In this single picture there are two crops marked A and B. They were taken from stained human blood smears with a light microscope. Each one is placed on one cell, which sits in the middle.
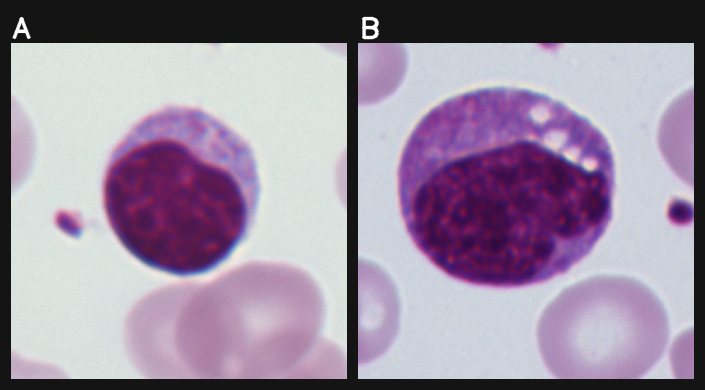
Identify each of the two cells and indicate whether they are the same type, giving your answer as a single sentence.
No, a monocyte is depicted in crop B, whereas a large granular lymphocyte is depicted in crop A.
